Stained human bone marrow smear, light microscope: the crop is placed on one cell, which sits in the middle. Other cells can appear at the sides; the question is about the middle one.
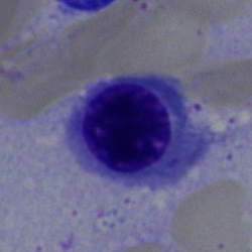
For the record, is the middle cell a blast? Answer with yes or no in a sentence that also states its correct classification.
No, this cell in the middle is a normoblast, so it is not a blast.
